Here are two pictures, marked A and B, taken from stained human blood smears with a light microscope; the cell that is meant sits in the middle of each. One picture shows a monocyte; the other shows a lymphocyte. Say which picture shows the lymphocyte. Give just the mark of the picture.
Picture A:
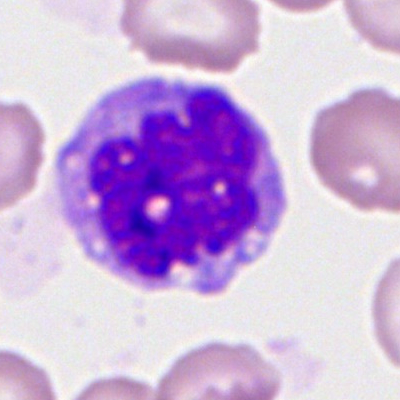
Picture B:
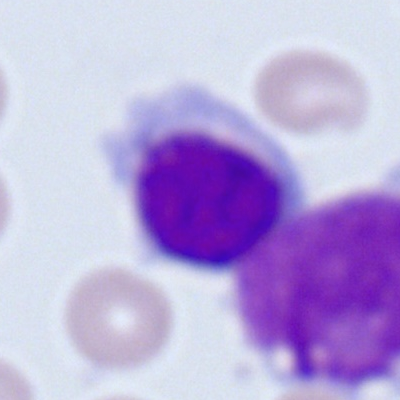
B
